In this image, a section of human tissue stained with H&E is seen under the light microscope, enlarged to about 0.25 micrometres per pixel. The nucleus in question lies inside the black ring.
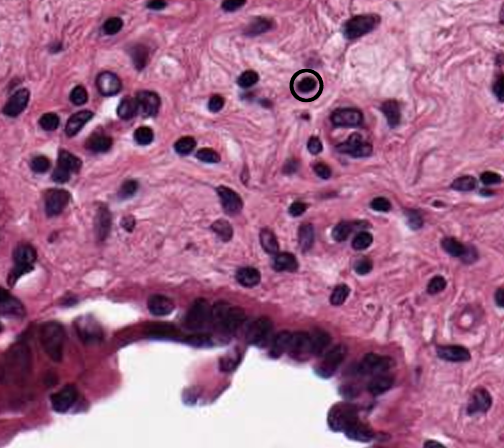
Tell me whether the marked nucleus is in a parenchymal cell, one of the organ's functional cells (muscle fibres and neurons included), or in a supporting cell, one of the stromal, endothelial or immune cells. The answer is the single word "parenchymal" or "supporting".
supporting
